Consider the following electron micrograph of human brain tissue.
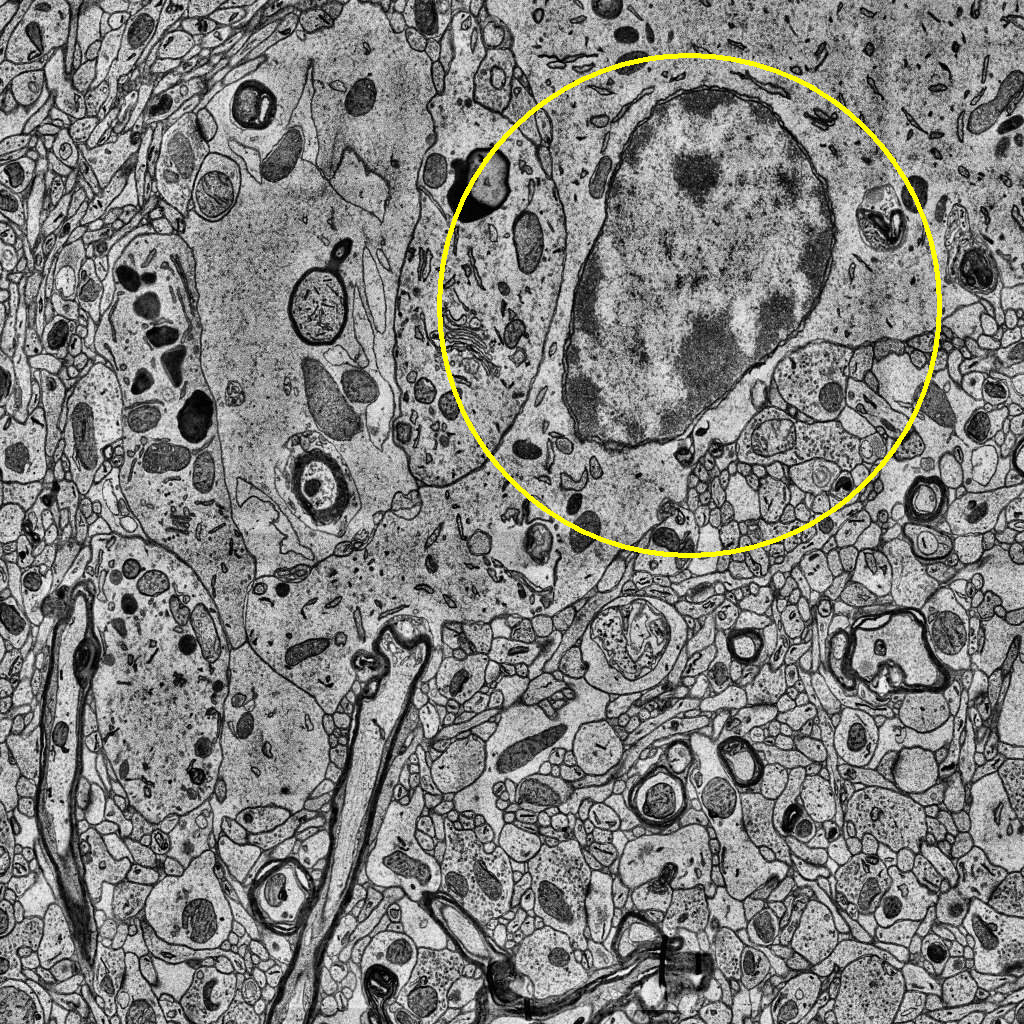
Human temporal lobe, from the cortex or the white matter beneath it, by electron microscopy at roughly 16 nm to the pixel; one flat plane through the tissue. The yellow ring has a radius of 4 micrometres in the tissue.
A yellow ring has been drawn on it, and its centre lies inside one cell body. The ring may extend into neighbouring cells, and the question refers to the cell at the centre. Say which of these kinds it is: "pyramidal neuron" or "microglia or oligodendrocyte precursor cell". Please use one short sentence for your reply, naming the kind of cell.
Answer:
The centre of the ring falls on a microglial cell or oligodendrocyte precursor cell.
